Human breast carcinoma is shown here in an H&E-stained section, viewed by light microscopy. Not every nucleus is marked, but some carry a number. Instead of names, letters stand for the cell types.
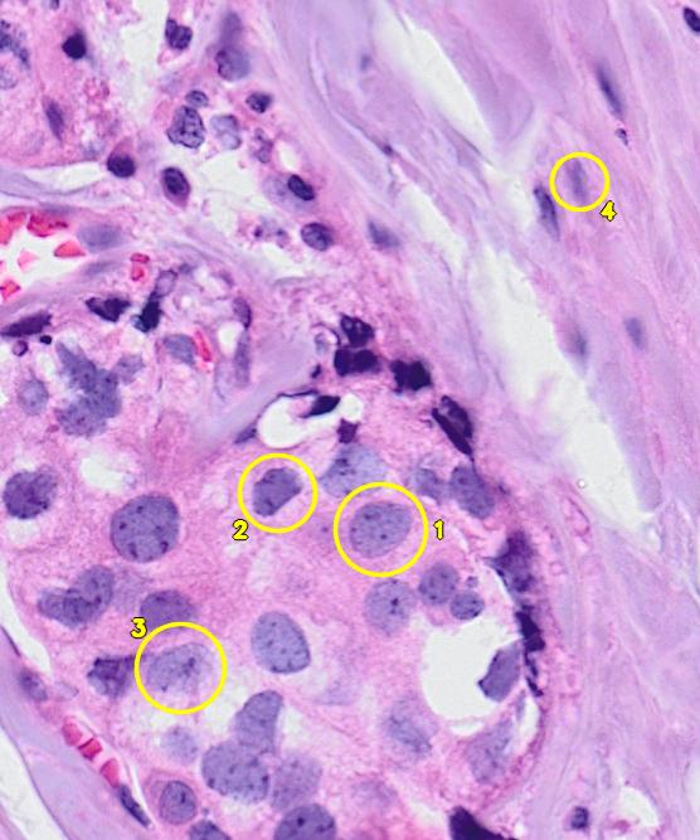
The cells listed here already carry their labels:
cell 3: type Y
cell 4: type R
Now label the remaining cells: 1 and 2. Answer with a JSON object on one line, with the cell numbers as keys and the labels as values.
{"1": "type Y", "2": "type Y"}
